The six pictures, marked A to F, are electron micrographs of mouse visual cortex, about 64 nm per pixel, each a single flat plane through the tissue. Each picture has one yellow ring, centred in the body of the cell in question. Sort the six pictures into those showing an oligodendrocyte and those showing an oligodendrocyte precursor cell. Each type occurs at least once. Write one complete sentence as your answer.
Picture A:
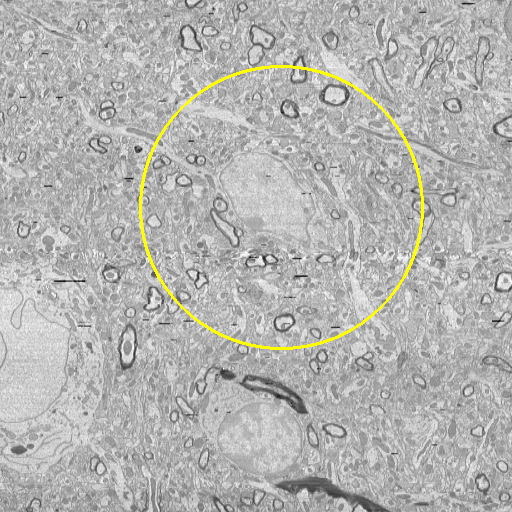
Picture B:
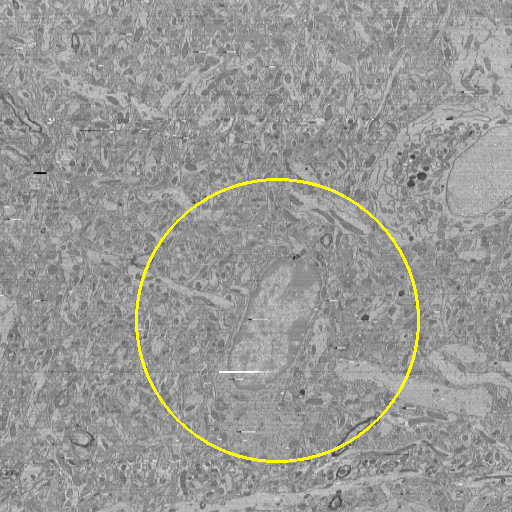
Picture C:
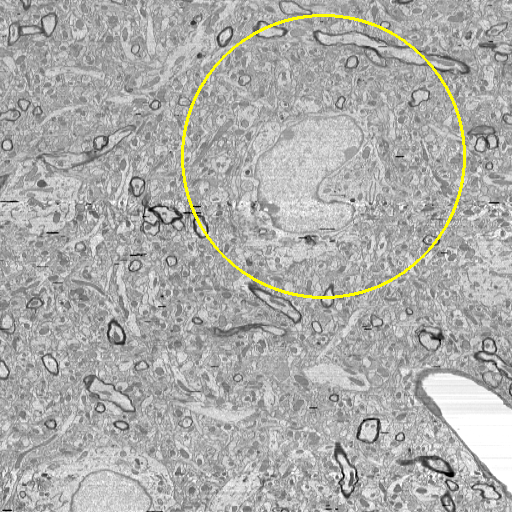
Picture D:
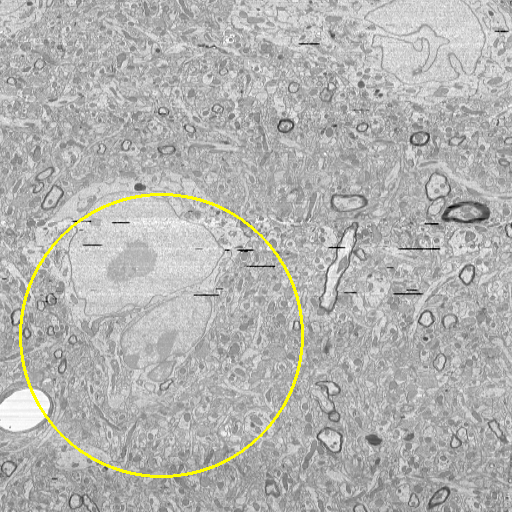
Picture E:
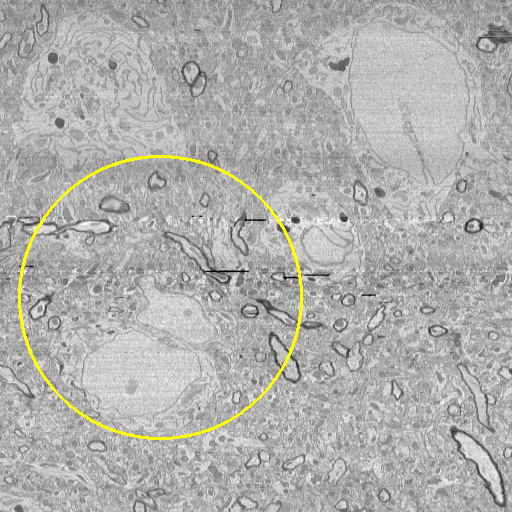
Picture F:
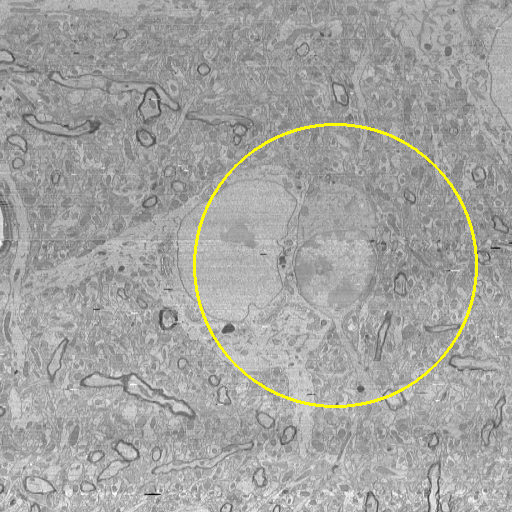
Pictures B and F show oligodendrocytes; pictures A, C, D and E show oligodendrocyte precursor cells.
